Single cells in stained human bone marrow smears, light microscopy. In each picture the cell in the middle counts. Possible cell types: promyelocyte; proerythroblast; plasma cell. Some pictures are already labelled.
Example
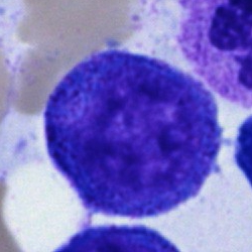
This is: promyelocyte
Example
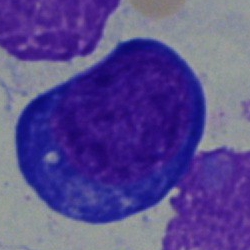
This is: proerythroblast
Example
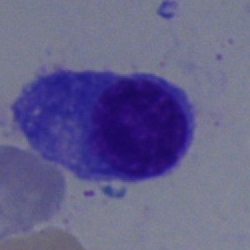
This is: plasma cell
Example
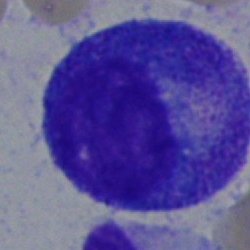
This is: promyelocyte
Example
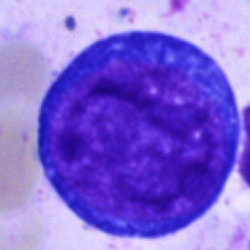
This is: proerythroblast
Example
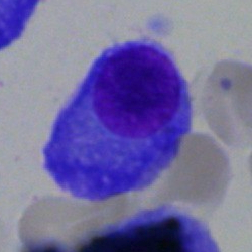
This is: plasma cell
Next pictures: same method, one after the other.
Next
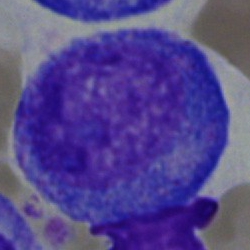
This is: promyelocyte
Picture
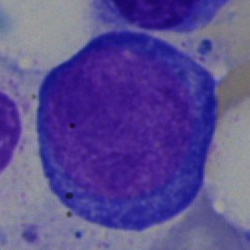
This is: proerythroblast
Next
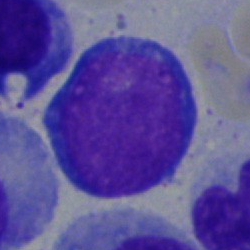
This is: proerythroblast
